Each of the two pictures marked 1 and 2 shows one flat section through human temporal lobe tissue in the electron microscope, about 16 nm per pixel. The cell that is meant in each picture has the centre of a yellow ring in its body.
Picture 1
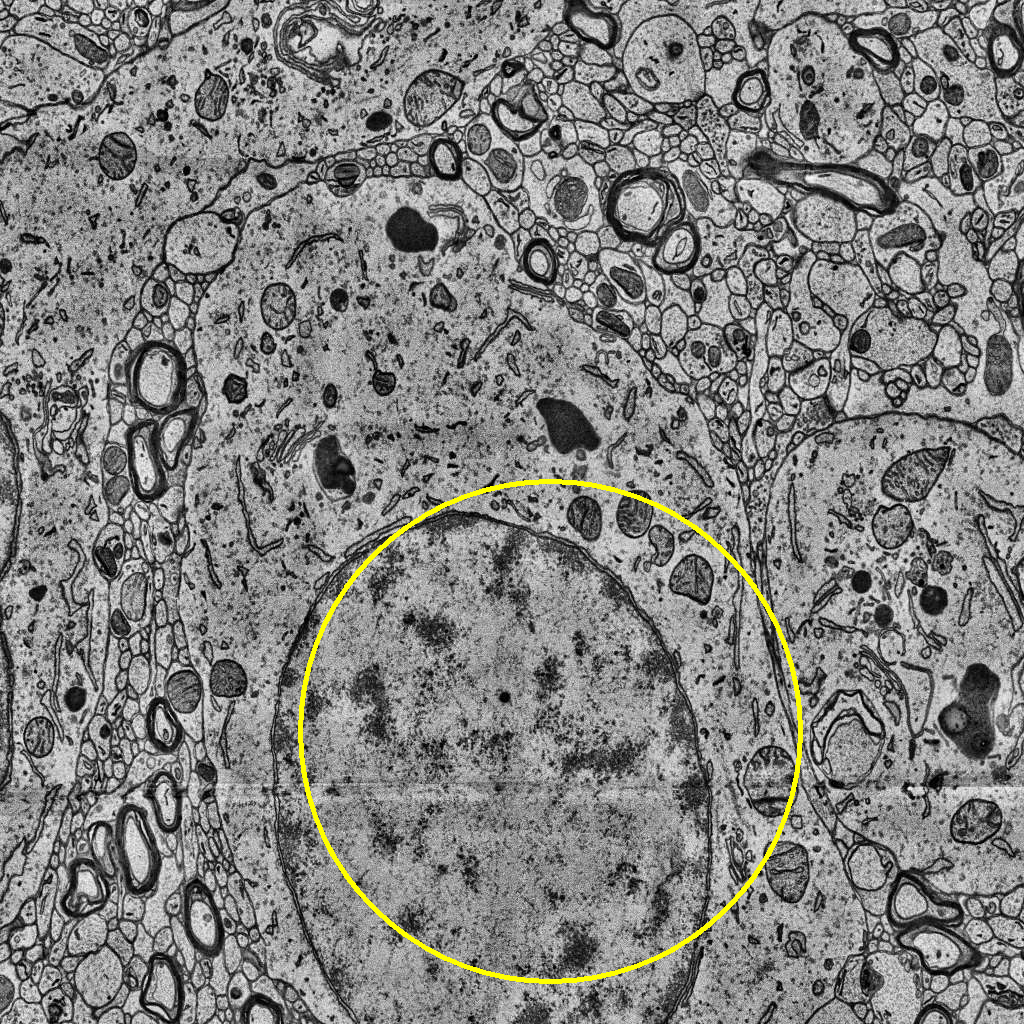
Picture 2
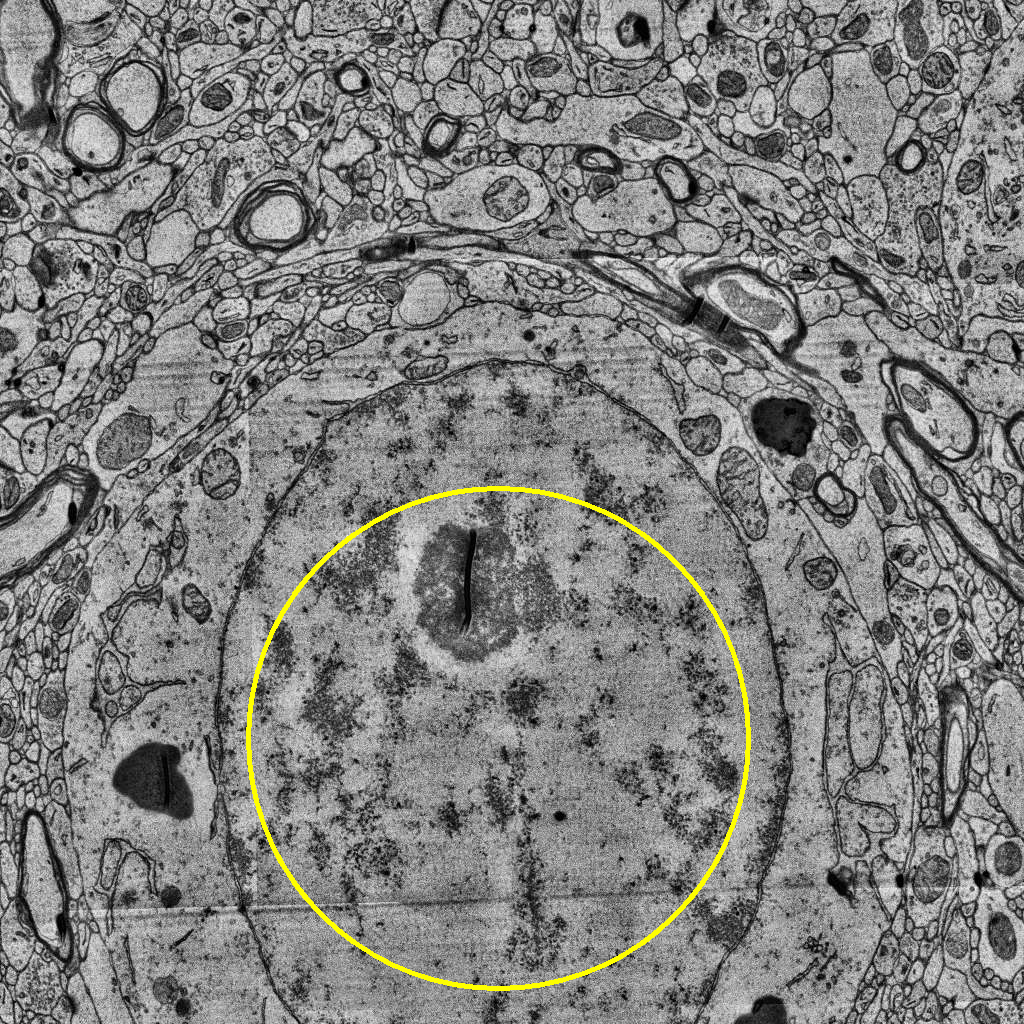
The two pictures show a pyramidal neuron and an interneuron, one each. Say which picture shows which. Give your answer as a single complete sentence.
In picture 1 the cell is an interneuron; in picture 2, a pyramidal neuron.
